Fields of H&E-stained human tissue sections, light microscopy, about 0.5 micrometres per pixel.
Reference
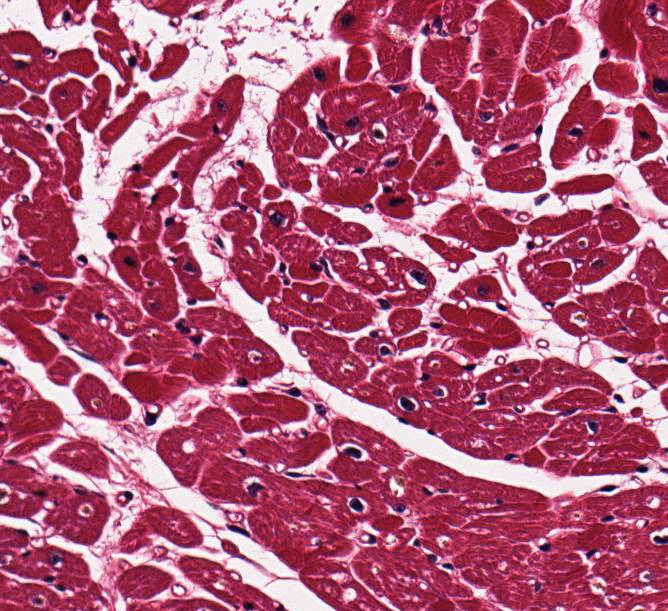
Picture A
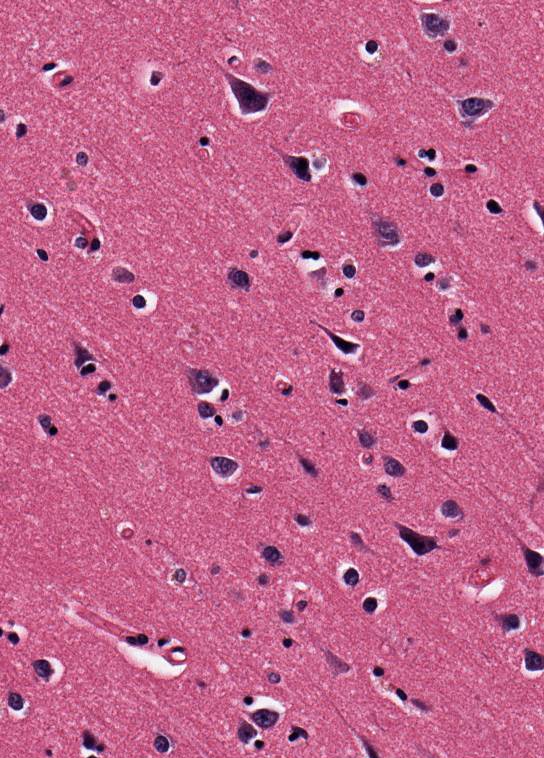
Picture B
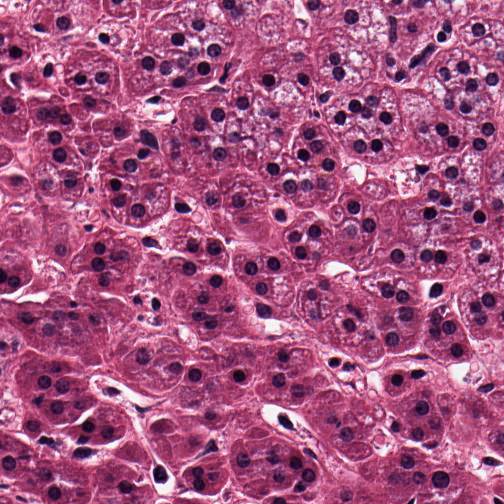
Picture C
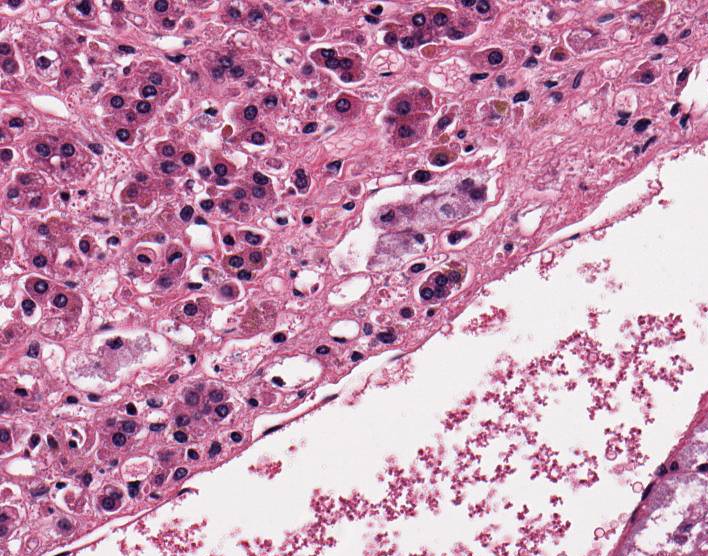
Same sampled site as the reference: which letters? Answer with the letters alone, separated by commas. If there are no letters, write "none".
none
